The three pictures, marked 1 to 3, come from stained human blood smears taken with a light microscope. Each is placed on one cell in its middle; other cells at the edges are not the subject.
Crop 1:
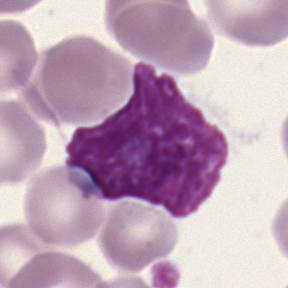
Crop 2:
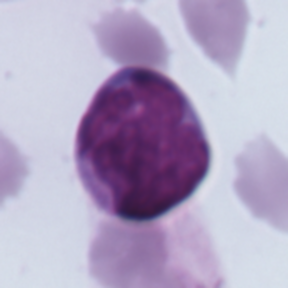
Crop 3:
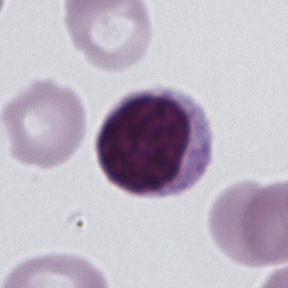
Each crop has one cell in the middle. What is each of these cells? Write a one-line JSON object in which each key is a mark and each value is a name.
{"1": "smudge cell", "2": "myeloblast", "3": "large granular lymphocyte"}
